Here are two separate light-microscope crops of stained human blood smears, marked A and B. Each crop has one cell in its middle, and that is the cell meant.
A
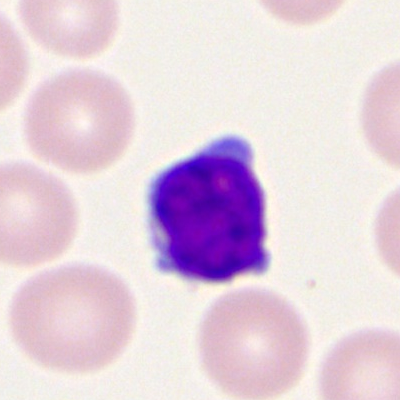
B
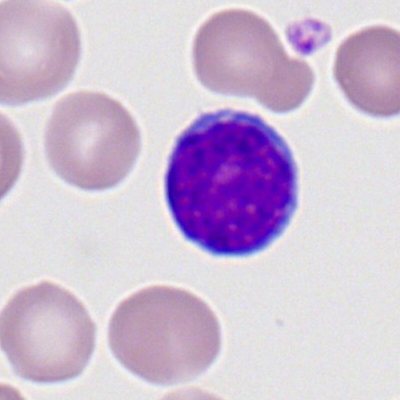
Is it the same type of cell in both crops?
yes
